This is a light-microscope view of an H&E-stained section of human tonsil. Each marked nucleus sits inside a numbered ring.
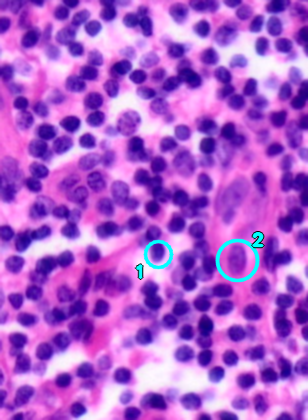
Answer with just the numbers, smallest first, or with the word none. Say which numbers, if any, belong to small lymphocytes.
1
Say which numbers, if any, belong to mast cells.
none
